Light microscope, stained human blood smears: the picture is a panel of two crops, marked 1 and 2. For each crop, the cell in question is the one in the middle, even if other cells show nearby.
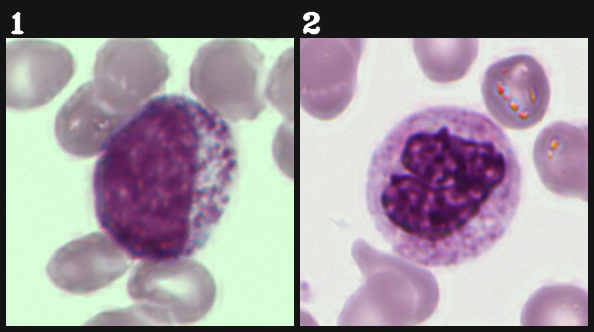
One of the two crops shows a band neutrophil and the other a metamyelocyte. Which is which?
1: metamyelocyte
2: band neutrophil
